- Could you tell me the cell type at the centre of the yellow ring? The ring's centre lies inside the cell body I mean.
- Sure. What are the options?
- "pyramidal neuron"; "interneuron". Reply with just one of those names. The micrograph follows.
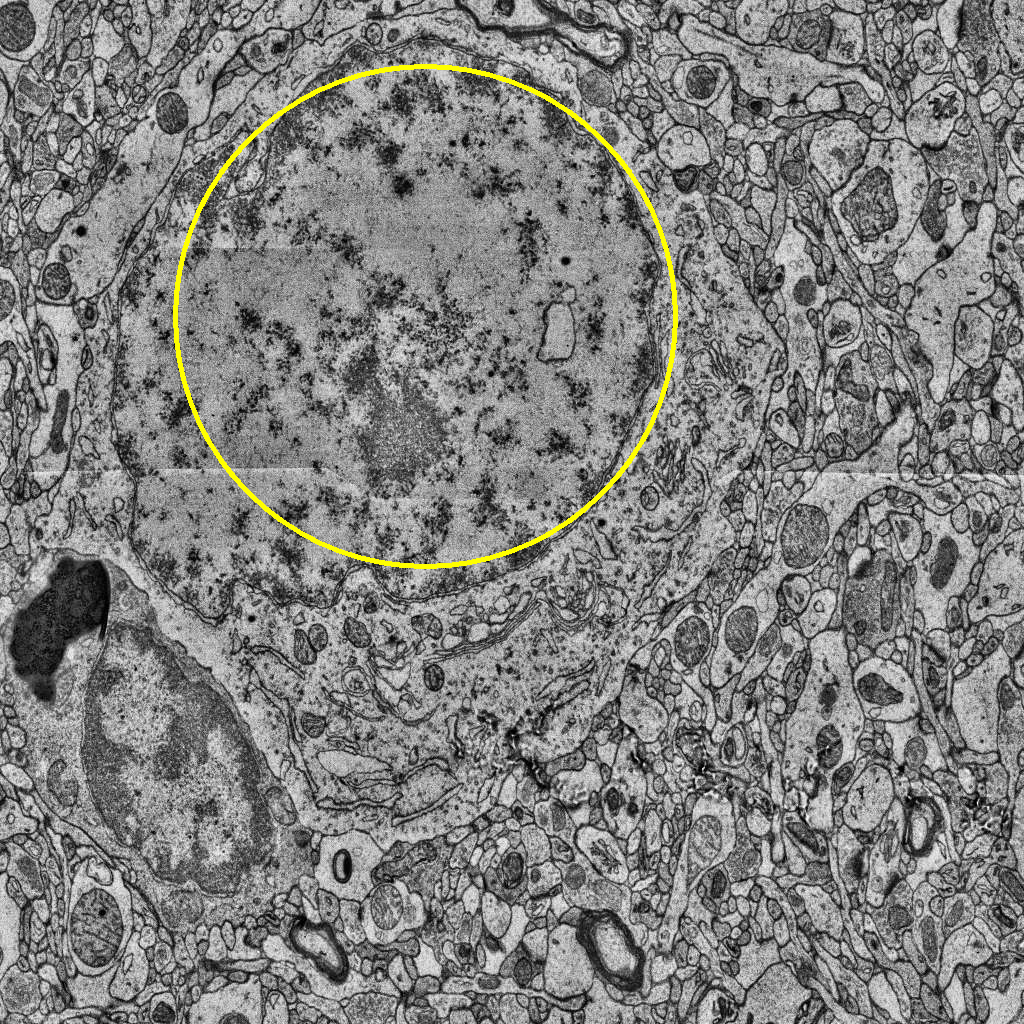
interneuron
